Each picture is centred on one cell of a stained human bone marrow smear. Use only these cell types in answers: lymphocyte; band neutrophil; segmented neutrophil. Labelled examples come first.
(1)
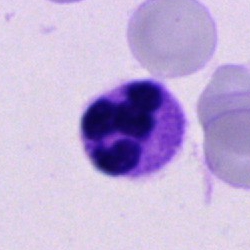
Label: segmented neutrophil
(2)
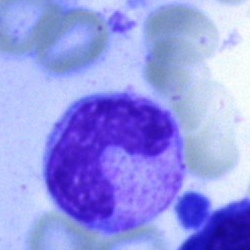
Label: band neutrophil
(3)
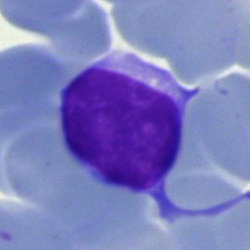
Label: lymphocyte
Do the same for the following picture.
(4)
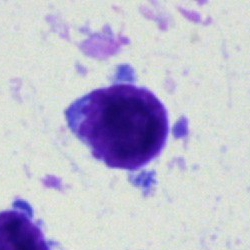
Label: lymphocyte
